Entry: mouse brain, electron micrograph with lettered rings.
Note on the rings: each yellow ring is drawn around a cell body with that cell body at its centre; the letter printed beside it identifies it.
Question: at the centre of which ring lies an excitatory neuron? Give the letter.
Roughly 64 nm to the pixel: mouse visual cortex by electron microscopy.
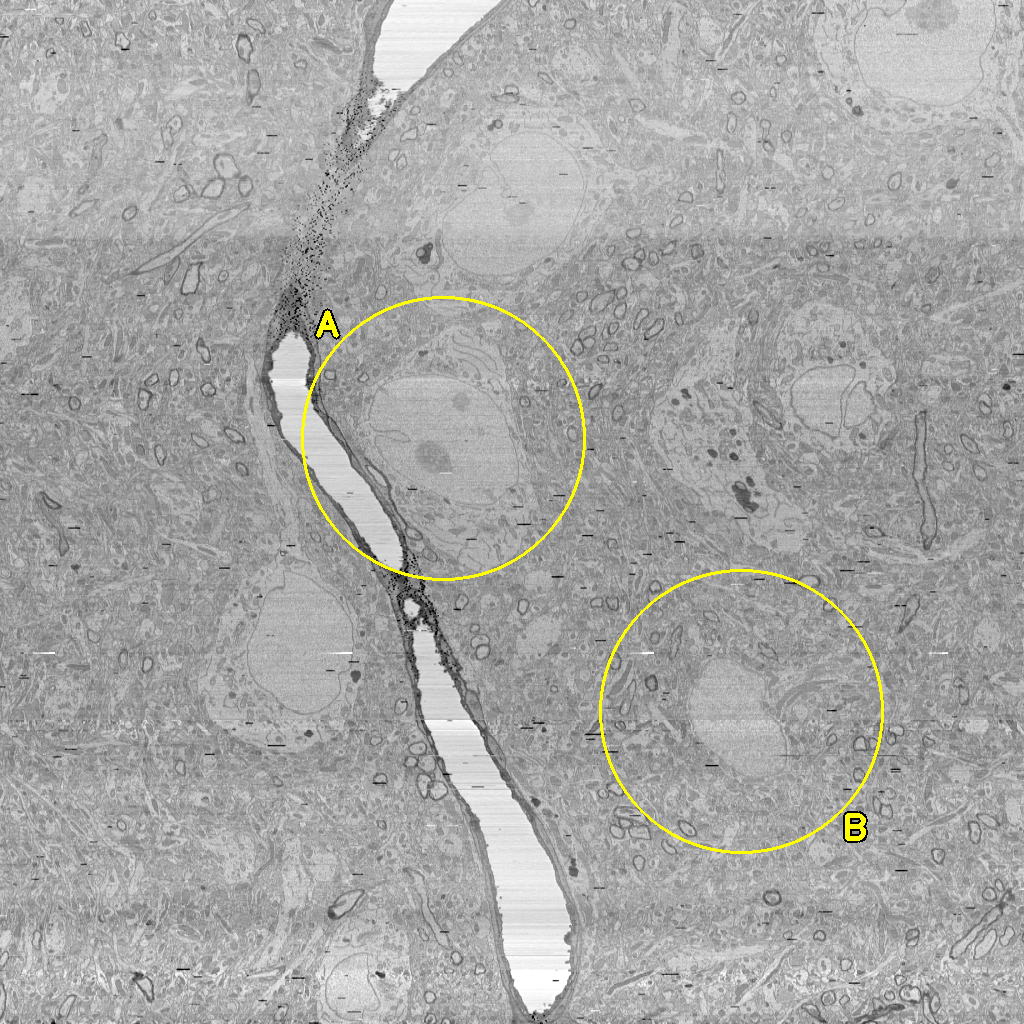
A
